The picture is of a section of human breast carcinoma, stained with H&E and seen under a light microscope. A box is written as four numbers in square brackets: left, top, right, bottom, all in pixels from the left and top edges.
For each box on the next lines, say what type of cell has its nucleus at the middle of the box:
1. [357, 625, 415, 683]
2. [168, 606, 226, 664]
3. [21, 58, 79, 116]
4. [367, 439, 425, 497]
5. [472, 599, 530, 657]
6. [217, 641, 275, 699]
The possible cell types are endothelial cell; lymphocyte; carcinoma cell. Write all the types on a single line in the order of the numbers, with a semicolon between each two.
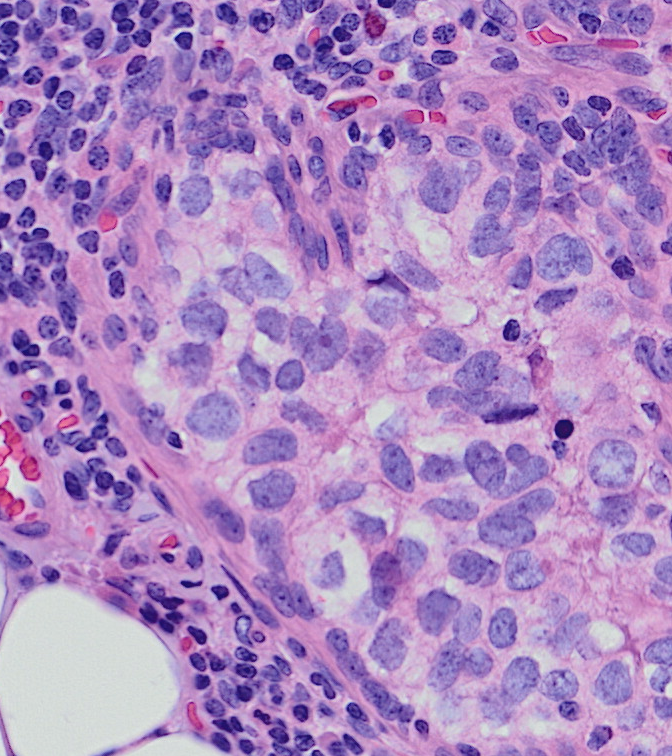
carcinoma cell; lymphocyte; lymphocyte; carcinoma cell; carcinoma cell; lymphocyte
